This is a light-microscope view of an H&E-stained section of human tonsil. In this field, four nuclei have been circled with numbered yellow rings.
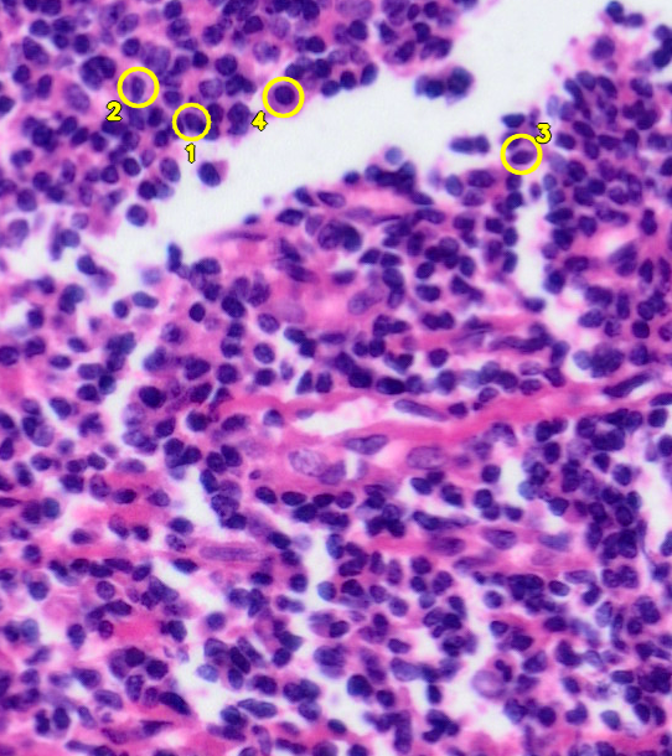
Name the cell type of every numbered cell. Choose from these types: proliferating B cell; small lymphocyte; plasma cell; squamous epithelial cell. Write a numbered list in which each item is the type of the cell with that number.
1. small lymphocyte
2. small lymphocyte
3. small lymphocyte
4. plasma cell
